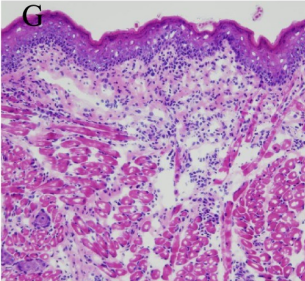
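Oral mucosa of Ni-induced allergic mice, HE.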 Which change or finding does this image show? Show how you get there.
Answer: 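Dense clusters of small round dark purple nuclei fill the connective tissue beneath the epithelium. The clusters extend between the pink muscle fibre bundles.
Conclusion: abundant infiltration of mononuclear cells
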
